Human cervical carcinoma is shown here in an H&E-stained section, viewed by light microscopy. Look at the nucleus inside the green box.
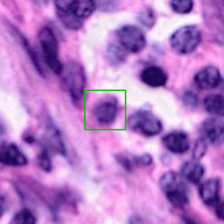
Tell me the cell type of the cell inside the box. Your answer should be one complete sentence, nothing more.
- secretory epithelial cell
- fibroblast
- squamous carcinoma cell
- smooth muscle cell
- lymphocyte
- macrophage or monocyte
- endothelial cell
With respect to cell type, the cell inside the box is a lymphocyte.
